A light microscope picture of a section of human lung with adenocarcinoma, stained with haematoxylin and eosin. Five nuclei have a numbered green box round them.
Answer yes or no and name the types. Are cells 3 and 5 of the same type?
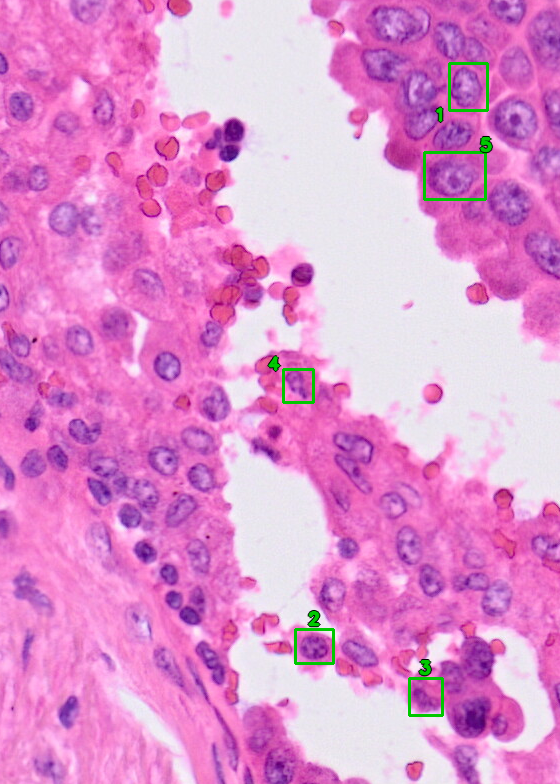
Yes, cells 3 and 5 both fall under carcinoma cells.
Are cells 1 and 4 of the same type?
No, cell 1 is a carcinoma cell, with cell 4 being a macrophage or monocyte.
